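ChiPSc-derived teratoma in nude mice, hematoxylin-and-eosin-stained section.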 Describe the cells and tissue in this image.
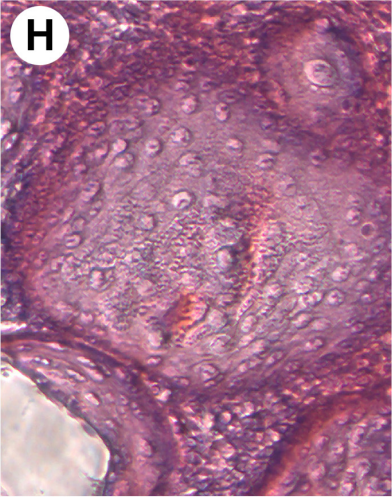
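Cartilage nodule with chondrocytes. Toward the edge of the nodule the matrix grows denser and more pink, forming a rim where cells appear flatter and more crowded. One larger cell with a clear halo is visible near the upper border. Adjacent rounded nodules with similar pink rims abut the field at the lower corners, one with an empty clear space.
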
